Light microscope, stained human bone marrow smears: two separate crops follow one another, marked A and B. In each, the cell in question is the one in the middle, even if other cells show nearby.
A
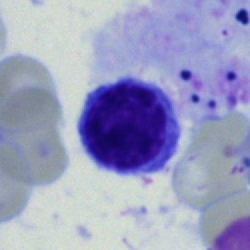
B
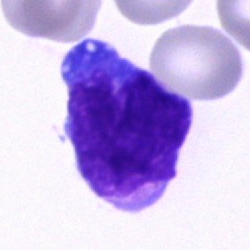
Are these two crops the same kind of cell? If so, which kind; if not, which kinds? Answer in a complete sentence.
No, it is crop A that shows a lymphocyte, and crop B shows a blast.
